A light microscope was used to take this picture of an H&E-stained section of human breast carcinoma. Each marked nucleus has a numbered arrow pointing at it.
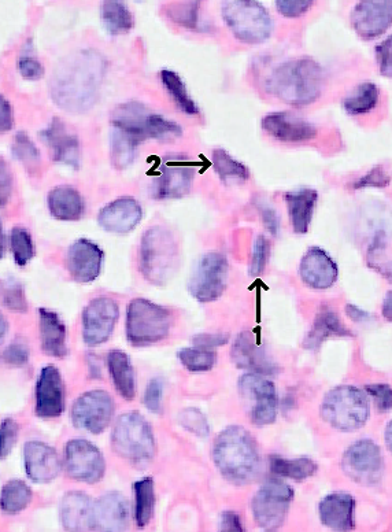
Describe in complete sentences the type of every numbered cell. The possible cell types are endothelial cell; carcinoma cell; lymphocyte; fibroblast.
Cell 1 is an endothelial cell and cell 2 is a carcinoma cell.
